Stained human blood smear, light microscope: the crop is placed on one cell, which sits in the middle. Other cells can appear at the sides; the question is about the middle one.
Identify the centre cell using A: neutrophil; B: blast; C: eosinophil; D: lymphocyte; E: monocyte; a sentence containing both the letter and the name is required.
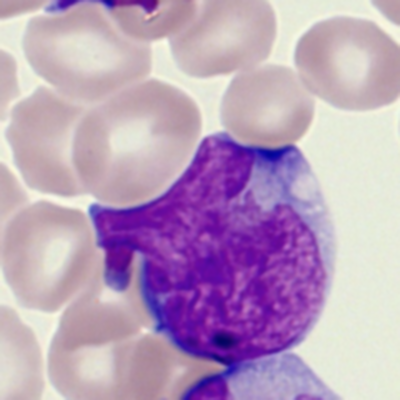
With the cell in the middle being a blast, option B is the correct choice.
